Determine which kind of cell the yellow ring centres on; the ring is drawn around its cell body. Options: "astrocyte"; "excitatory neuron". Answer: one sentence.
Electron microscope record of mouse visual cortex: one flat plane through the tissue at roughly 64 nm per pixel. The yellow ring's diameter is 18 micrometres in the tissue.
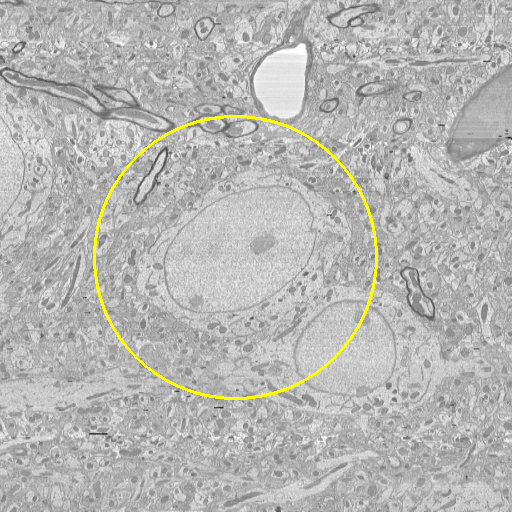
The ring centres on an excitatory neuron.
